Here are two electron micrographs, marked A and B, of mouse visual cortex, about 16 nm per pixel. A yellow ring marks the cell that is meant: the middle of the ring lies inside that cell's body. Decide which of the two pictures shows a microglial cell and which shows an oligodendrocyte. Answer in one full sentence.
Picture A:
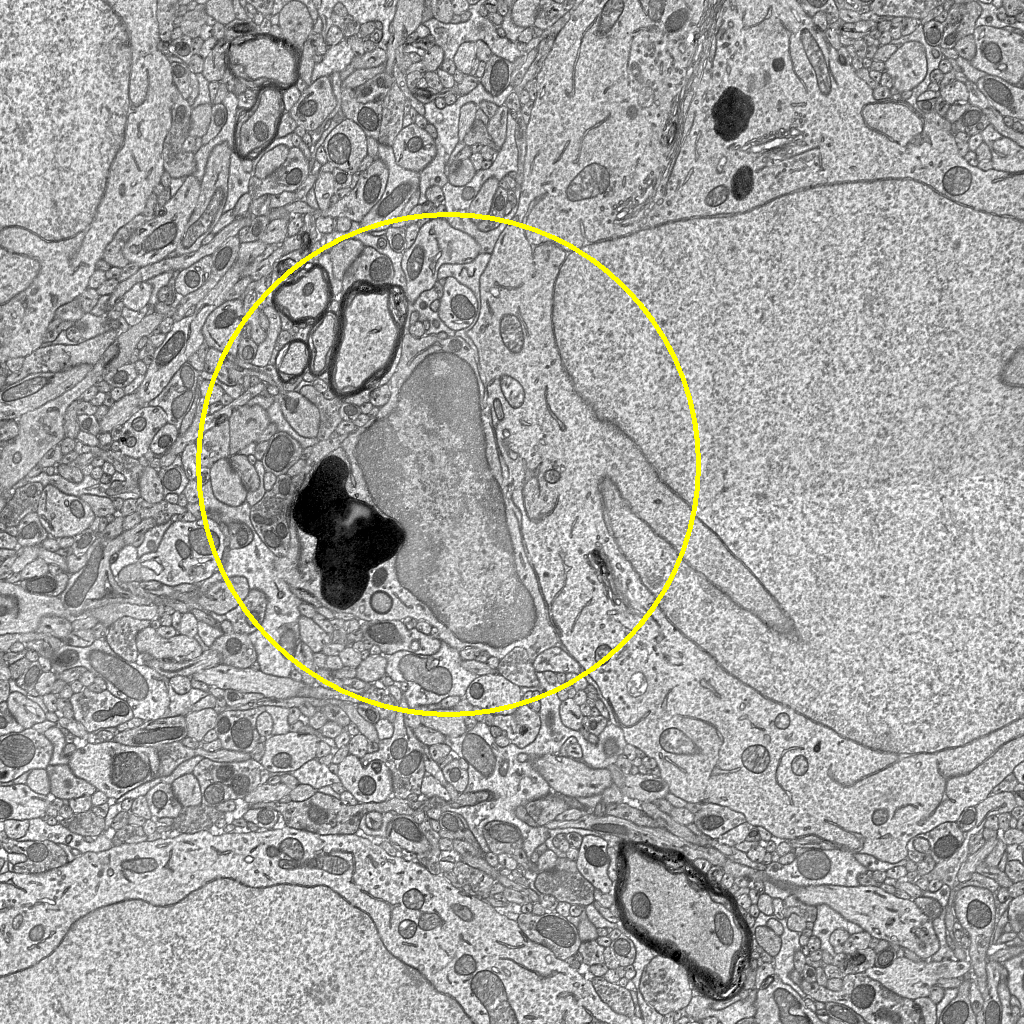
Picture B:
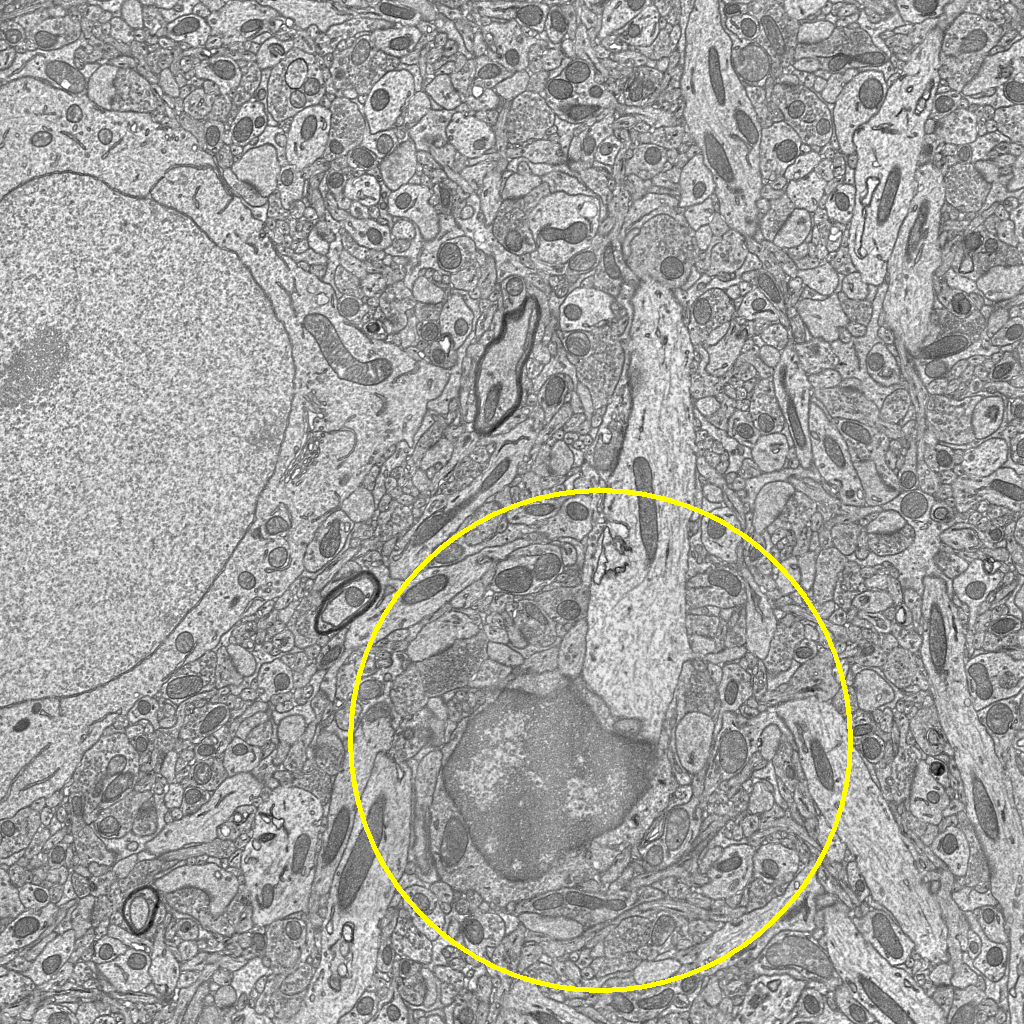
It is picture A that shows a microglial cell, and picture B that shows an oligodendrocyte.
